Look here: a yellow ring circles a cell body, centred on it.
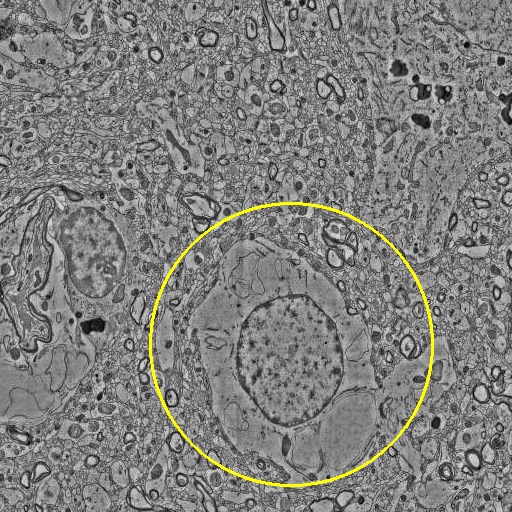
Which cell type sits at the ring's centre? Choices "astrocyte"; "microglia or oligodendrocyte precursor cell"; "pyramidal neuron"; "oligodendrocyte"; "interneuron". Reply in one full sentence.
The cell at the centre of the yellow ring in the picture is an astrocyte.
